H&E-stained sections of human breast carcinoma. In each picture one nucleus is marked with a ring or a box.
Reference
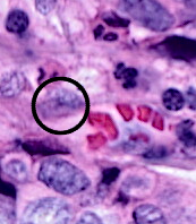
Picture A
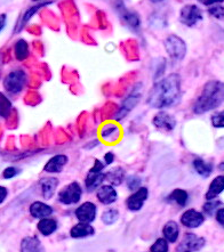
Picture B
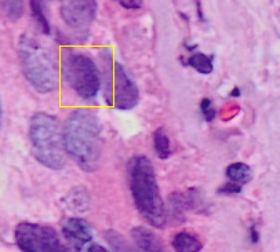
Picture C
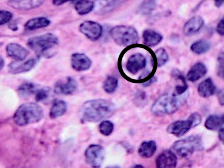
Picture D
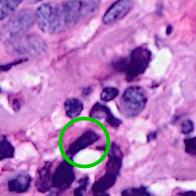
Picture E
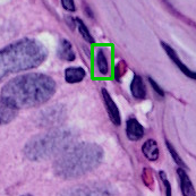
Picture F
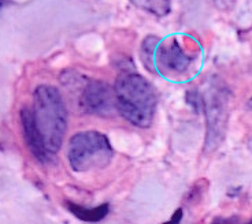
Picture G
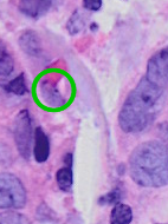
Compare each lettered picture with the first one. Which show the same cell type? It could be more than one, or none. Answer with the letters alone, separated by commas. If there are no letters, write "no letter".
A, E, F, G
